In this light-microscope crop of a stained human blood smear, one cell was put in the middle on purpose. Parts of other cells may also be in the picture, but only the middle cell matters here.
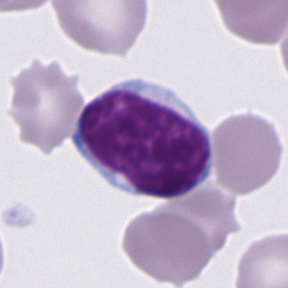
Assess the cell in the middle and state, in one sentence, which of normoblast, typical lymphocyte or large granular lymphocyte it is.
The central cell in this smear crop is a typical lymphocyte.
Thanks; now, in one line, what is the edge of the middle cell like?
Thanks for asking; the cell edge is smooth and has no projections.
